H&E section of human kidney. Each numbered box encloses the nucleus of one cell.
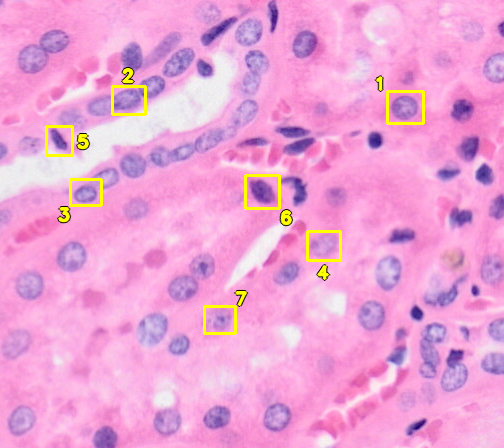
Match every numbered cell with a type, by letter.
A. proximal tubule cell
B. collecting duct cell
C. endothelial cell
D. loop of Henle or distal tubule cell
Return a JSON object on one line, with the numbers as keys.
{"1": "A", "2": "B", "3": "B", "4": "A", "5": "B", "6": "A", "7": "A"}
